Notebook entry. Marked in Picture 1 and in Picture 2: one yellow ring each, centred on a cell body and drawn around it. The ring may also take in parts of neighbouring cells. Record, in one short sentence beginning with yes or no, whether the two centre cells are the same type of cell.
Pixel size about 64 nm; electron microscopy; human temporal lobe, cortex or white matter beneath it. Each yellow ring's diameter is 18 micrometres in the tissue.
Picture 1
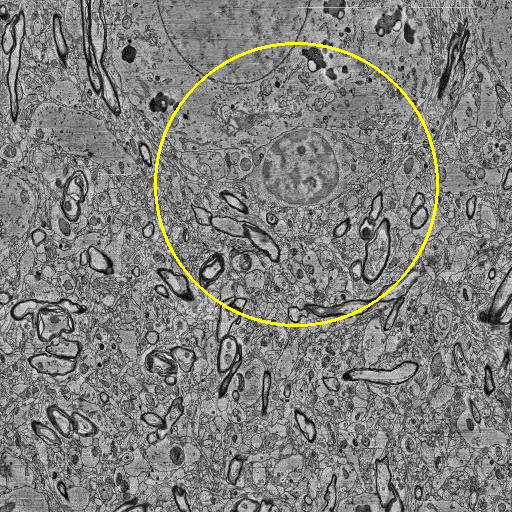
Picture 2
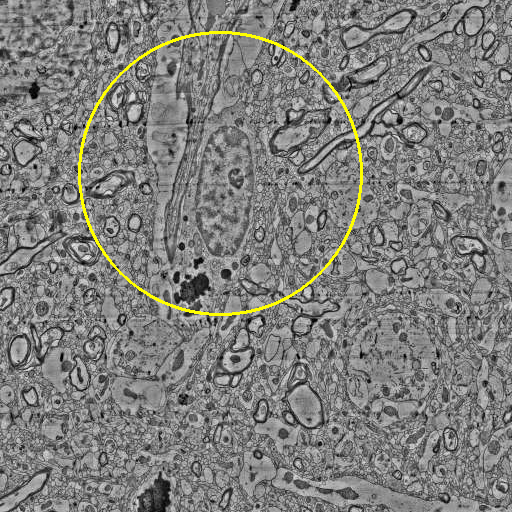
Yes, both are the same type of cell.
